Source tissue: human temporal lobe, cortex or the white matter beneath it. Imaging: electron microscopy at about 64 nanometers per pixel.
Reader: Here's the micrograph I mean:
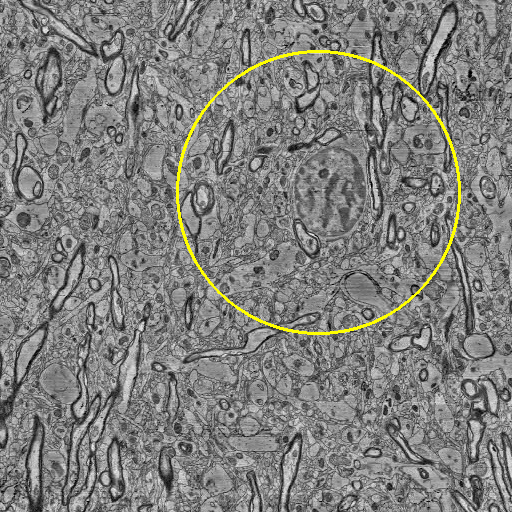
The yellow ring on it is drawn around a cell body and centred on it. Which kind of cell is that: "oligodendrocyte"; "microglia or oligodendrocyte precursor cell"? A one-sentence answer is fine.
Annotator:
The ring is centred on an oligodendrocyte.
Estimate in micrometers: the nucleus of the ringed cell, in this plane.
The nucleus measures about 6 by 5 micrometres in this plane.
